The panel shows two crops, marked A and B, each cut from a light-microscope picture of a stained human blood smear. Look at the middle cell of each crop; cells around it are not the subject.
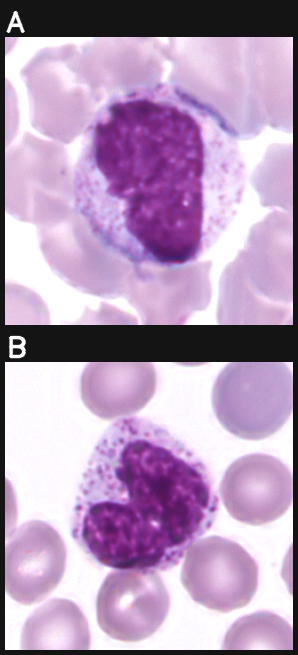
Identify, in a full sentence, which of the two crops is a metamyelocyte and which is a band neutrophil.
Crop A here is a metamyelocyte, and crop B is a band neutrophil.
